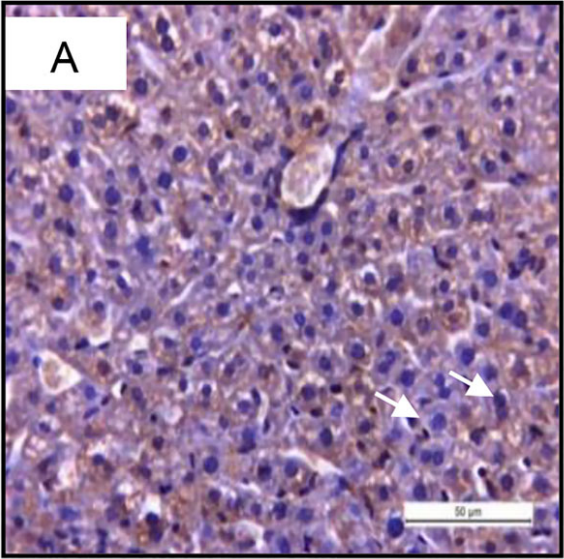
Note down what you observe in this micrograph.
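Liver parenchyma of closely packed polygonal hepatocytes with round blue nuclei, a few with two nuclei, and granular brown-tinged cytoplasm. Narrow sinusoidal spaces run between the cords, and a small vessel lies near the top of the field.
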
